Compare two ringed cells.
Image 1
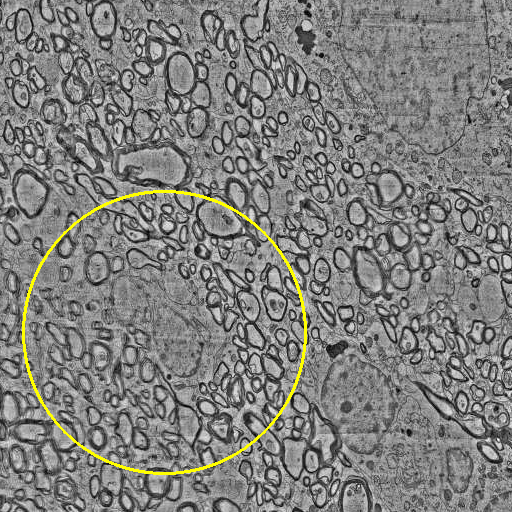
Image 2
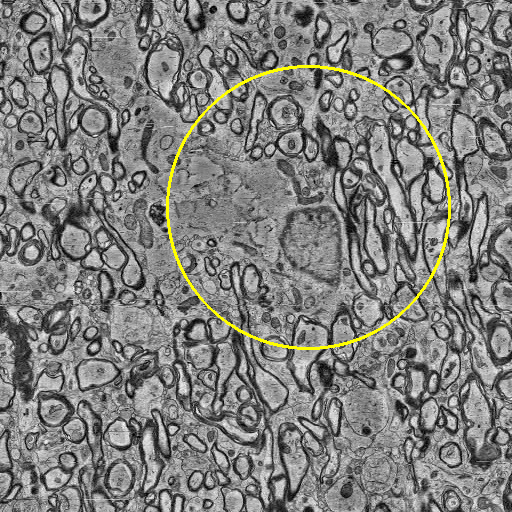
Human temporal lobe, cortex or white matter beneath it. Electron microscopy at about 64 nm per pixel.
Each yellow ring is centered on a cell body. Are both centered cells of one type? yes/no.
yes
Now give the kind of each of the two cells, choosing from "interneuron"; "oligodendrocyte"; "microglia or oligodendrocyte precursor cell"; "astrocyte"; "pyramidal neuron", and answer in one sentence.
In each of the two pictures, the ringed cell is an astrocyte.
